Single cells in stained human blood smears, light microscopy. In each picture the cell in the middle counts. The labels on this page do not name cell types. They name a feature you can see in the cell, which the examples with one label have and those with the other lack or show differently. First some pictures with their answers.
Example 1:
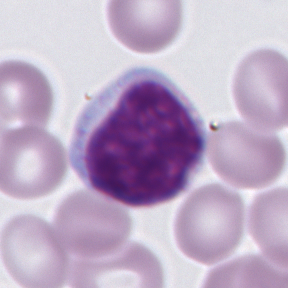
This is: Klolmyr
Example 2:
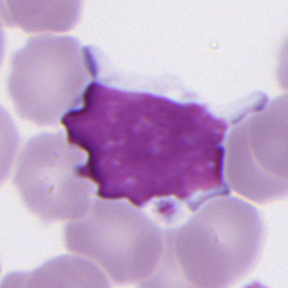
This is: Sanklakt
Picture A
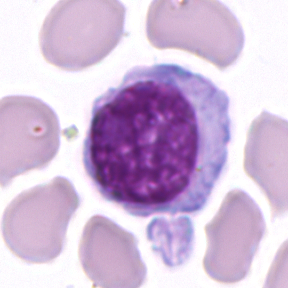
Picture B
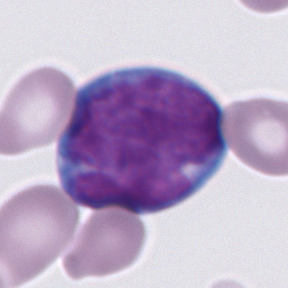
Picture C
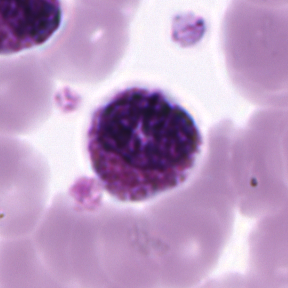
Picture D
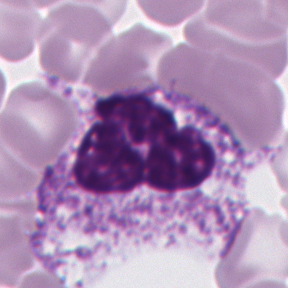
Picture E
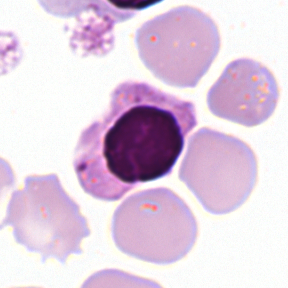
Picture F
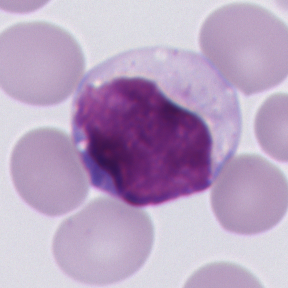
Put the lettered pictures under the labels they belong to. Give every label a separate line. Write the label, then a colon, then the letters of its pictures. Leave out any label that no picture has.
Klolmyr: B, C, F
Sanklakt: A, D, E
